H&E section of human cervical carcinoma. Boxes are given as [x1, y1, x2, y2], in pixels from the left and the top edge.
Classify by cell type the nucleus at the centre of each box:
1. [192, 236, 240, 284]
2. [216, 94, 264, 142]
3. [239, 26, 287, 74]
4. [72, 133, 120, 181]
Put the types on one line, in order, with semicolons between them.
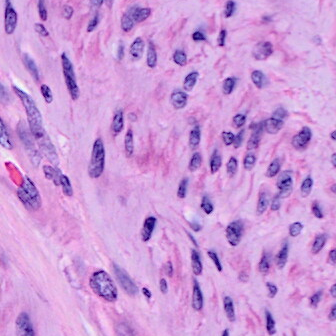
fibroblast; smooth muscle cell; smooth muscle cell; fibroblast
